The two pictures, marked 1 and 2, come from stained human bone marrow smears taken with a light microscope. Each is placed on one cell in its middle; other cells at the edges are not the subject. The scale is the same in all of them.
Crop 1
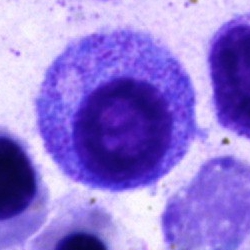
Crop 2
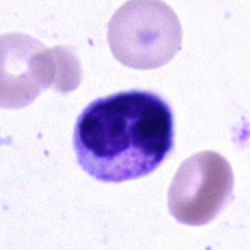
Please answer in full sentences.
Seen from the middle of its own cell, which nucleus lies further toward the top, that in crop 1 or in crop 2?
The nucleus in crop 2 lies further toward the top of its cell.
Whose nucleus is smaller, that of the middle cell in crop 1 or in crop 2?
Smaller is the nucleus in crop 2, and the other is about 2 times as large in area.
